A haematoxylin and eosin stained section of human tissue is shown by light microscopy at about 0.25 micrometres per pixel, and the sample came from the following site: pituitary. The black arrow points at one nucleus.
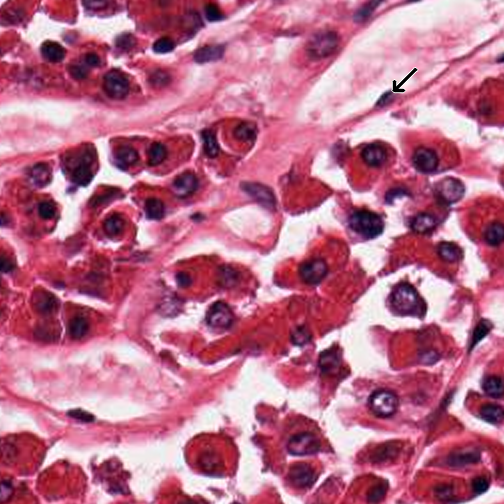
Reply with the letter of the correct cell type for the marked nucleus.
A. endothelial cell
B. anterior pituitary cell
A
